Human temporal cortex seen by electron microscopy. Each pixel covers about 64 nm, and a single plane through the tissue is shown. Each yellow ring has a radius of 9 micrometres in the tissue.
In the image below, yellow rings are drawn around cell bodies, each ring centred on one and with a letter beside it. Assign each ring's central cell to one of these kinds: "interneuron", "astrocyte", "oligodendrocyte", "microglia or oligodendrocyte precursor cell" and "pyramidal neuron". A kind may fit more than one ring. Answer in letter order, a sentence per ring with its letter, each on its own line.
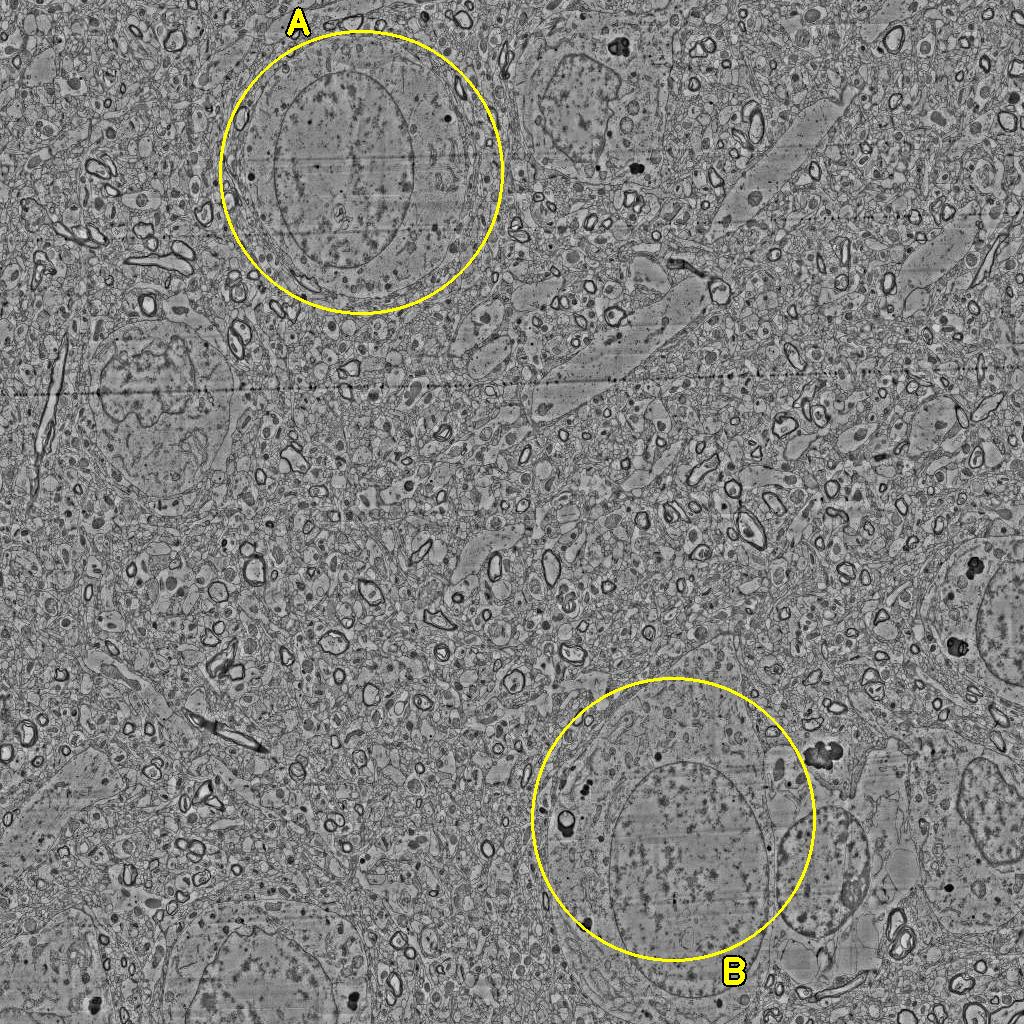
The central cell of ring A is a pyramidal neuron.
The central cell of ring B is a pyramidal neuron.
